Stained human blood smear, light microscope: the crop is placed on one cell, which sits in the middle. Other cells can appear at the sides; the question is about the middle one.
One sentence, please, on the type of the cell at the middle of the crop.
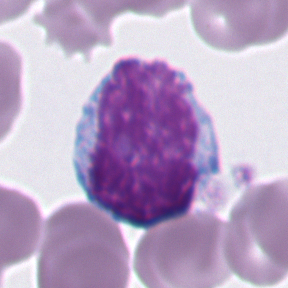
Seen at the centre of the crop is a typical lymphocyte.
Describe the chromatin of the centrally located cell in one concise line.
The chromatin remains finely textured, with no coarse clumps to speak of.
